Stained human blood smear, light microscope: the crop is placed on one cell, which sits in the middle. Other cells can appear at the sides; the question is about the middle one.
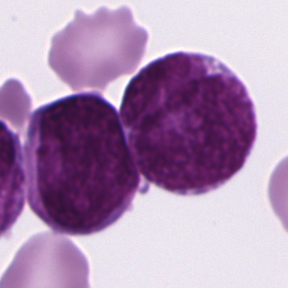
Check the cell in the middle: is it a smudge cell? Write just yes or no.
no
